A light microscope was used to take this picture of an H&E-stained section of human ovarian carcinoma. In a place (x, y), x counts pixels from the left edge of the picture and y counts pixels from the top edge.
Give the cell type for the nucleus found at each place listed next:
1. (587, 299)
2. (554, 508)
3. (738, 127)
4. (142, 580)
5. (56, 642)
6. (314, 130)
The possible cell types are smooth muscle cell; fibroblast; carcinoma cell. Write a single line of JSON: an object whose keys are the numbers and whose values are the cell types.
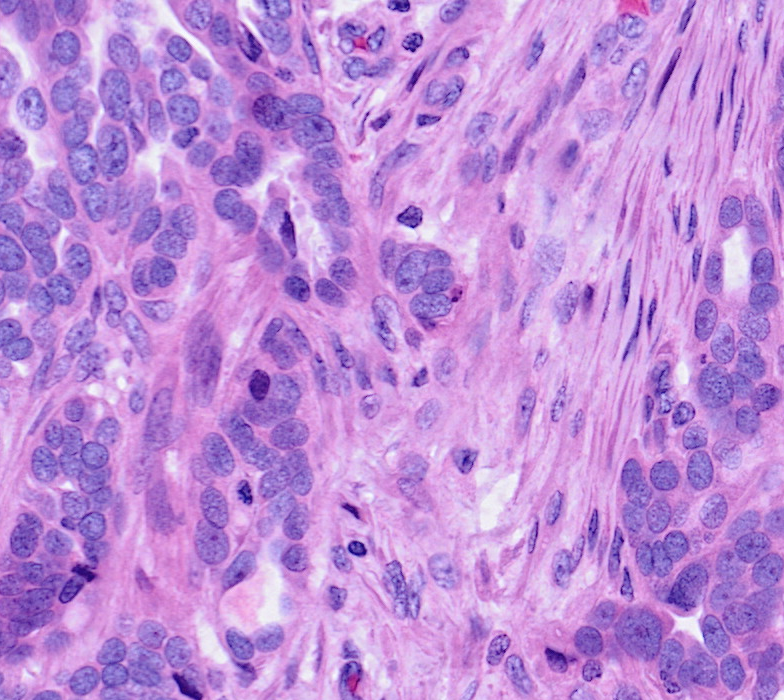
{"1": "fibroblast", "2": "fibroblast", "3": "fibroblast", "4": "fibroblast", "5": "carcinoma cell", "6": "carcinoma cell"}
